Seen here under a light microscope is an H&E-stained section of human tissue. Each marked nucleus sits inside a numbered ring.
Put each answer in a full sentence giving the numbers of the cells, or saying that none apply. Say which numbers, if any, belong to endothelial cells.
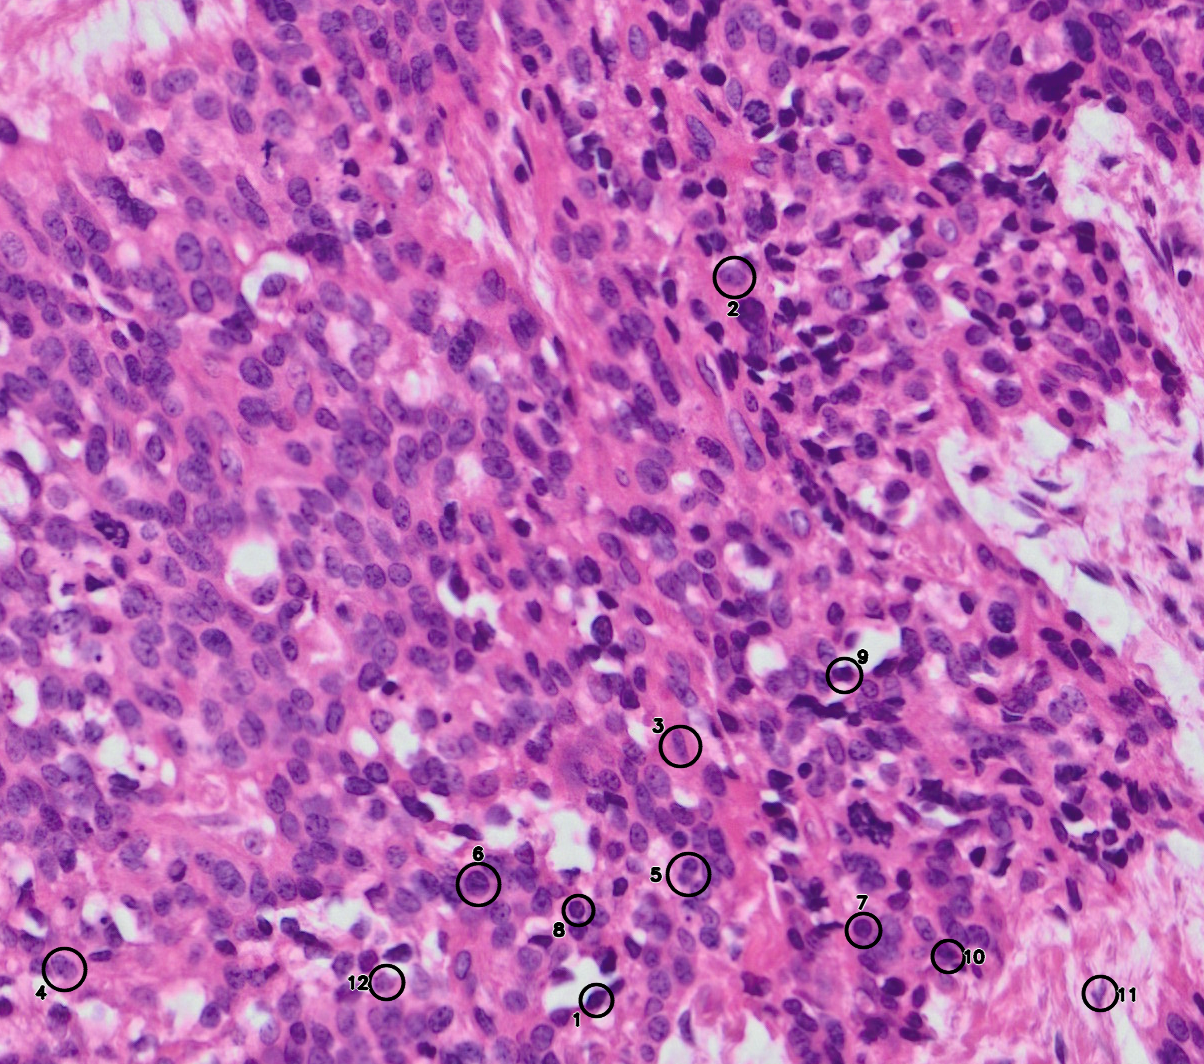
Cell 3 is the single numbered cell that is an endothelial cell.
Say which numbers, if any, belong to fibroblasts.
Only nucleus 11 belongs to a fibroblast; the other numbered nuclei do not.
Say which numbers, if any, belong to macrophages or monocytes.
The cells numbered 4, 5 and 8 are of one kind: macrophages or monocytes.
